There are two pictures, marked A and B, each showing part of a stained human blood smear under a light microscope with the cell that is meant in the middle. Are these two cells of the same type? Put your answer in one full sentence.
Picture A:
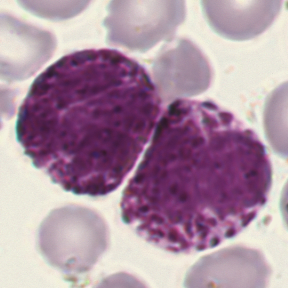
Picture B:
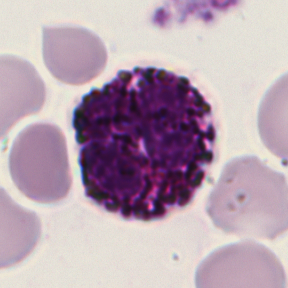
Yes; the cells in both pictures are basophils.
